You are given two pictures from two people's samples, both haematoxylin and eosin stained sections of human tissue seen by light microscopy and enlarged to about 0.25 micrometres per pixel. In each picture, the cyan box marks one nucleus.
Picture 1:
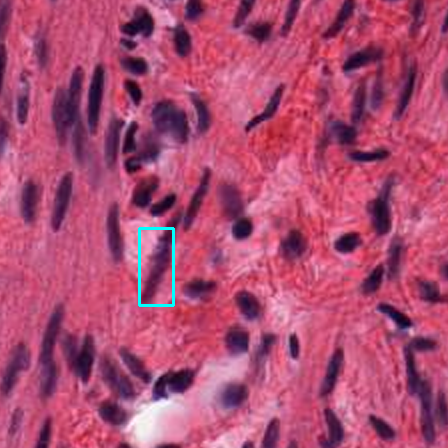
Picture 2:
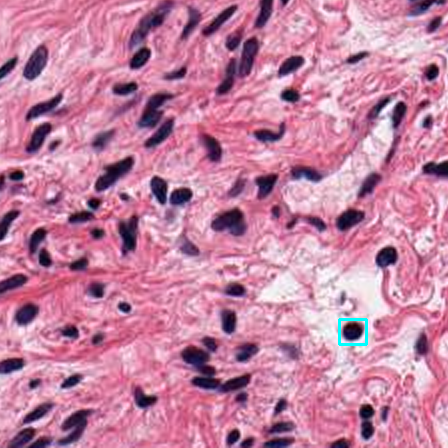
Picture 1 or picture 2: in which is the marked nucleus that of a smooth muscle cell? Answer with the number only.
1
